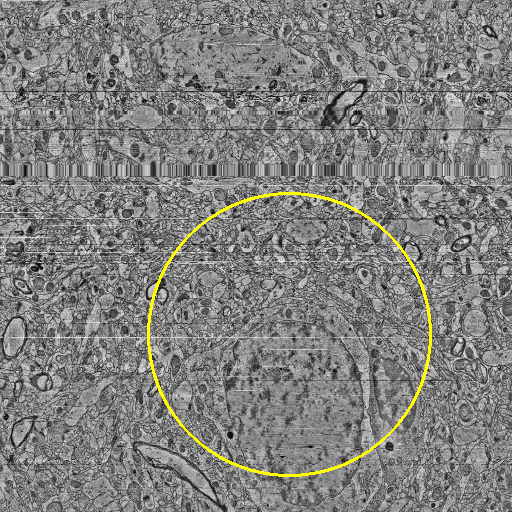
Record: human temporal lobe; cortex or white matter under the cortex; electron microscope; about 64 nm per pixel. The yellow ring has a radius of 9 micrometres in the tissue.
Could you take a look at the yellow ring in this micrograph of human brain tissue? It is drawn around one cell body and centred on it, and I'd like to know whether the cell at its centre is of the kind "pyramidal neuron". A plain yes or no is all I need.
no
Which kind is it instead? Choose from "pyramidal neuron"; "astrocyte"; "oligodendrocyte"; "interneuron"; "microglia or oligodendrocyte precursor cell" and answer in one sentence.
Instead, what sits at the centre of the ring is an interneuron.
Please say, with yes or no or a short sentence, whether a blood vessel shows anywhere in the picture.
No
